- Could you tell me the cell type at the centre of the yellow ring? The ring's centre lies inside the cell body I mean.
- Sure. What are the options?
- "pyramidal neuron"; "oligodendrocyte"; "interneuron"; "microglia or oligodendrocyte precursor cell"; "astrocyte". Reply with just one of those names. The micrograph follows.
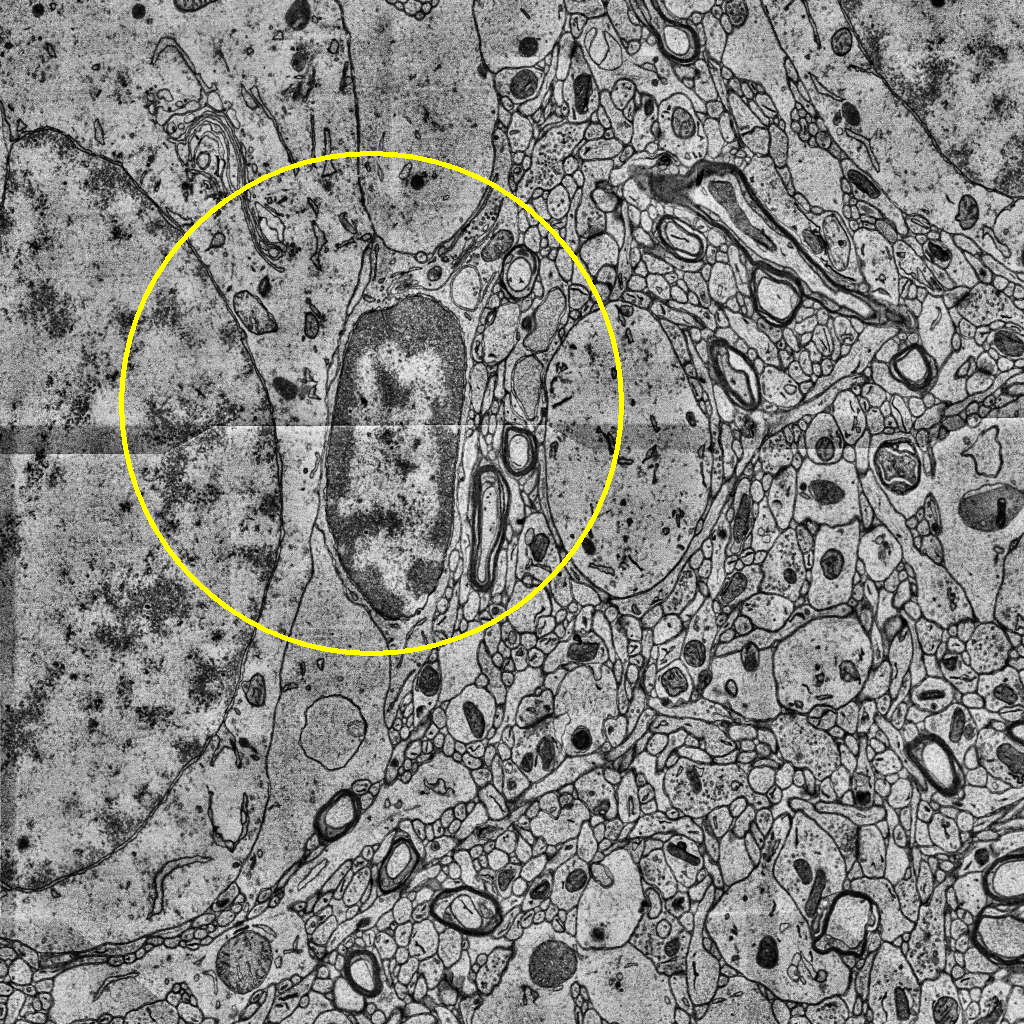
microglia or oligodendrocyte precursor cell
